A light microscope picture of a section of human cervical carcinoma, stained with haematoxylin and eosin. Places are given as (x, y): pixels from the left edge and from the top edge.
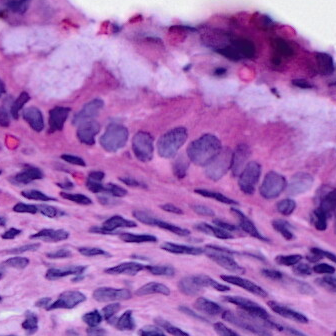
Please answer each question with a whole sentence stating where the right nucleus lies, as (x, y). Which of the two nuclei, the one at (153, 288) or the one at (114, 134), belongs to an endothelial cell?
Here the nucleus at (153, 288) is the one that belongs to an endothelial cell.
